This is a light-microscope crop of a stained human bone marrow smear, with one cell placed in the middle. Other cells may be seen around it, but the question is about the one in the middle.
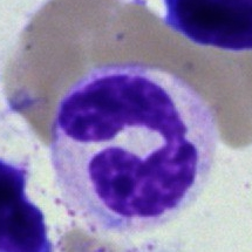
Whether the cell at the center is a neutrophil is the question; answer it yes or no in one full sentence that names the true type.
Yes, the cell at the middle of the field is to be classed as a neutrophil.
